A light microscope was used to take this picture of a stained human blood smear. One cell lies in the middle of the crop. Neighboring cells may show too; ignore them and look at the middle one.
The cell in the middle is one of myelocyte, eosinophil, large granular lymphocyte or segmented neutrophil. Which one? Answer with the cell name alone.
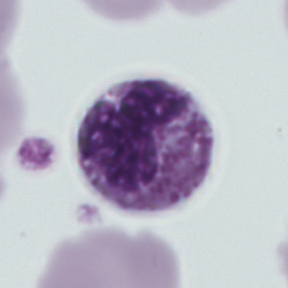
eosinophil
